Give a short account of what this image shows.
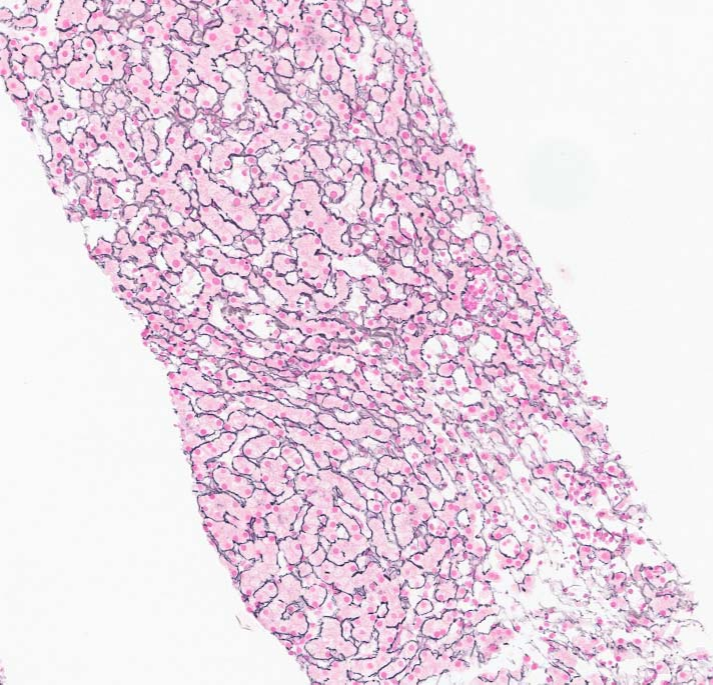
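A needle core of liver shows pink liver cells with round nuclei arranged in plates framed by fine black reticulin fibres. In the upper and lower parts, the plates are widened to about two cells thick and form rounded nodular zones. Between these zones, a diagonal band holds thin, compressed plates of smaller, atrophic-looking liver cells, a pattern of nodular regenerative hyperplasia without fibrous septa.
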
